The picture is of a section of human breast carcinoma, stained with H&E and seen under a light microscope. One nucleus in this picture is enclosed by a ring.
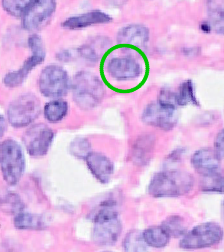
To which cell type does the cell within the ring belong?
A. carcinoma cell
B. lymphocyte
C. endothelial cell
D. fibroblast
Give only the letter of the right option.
A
